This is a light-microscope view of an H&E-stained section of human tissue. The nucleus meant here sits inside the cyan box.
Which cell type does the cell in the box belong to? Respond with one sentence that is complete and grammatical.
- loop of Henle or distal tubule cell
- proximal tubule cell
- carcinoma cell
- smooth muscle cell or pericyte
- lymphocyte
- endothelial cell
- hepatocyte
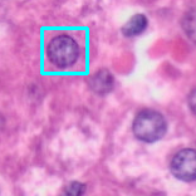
The correct response here is that the cell in the box is a hepatocyte.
